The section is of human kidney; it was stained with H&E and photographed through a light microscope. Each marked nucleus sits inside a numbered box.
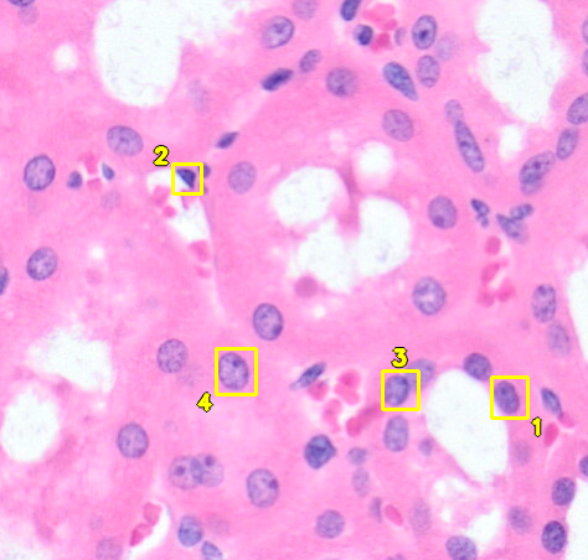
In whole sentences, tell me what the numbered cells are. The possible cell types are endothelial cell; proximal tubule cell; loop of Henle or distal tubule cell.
Cells 1 and 3 are loop of Henle or distal tubule cells. Cell 2 is an endothelial cell. Cell 4 is a proximal tubule cell.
